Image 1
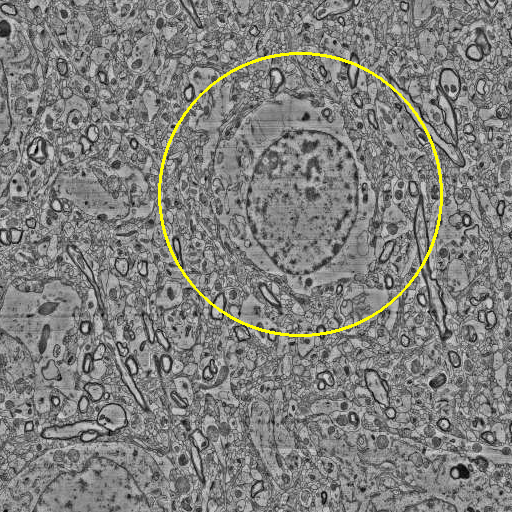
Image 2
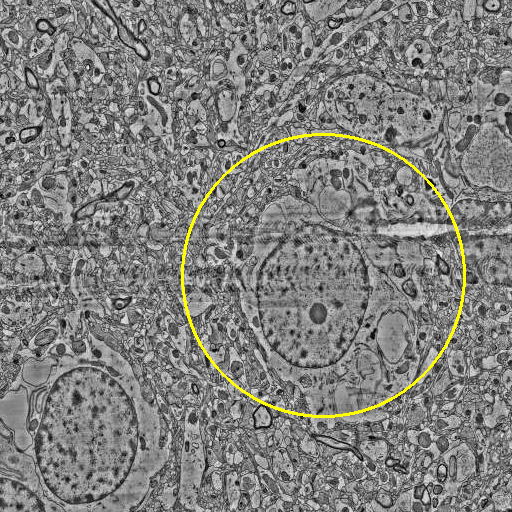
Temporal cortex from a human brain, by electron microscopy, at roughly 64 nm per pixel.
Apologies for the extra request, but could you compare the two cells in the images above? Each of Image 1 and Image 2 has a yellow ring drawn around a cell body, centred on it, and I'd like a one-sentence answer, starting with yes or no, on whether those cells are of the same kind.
Yes, both cells are of the same kind.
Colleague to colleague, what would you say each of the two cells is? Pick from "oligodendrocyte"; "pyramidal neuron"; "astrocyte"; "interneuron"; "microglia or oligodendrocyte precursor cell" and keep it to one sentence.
Both pictures show an astrocyte at the centre of the ring.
